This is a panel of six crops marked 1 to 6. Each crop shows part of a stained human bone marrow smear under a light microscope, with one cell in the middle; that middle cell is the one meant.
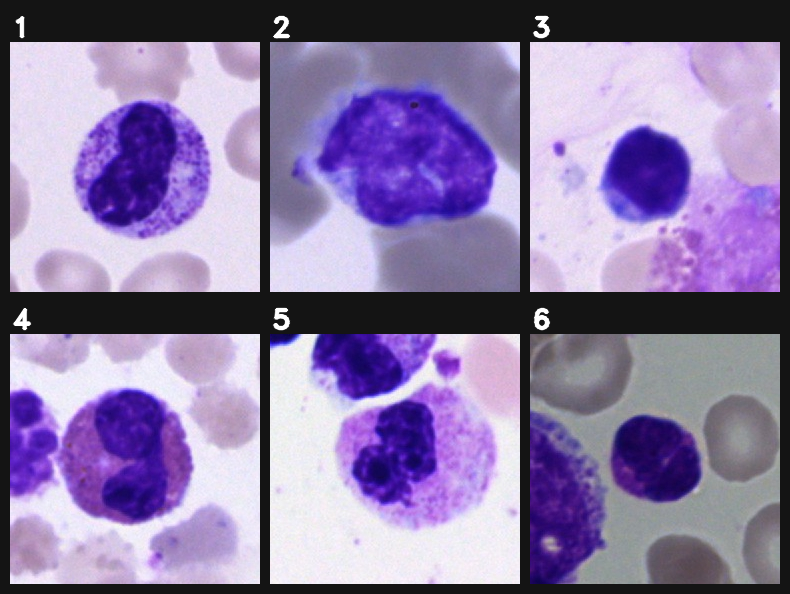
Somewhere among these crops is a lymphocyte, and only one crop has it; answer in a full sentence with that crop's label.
The one crop in the set with a lymphocyte is crop 3.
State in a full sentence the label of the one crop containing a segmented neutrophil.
Crop 5 is identified as the crop showing a segmented neutrophil.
